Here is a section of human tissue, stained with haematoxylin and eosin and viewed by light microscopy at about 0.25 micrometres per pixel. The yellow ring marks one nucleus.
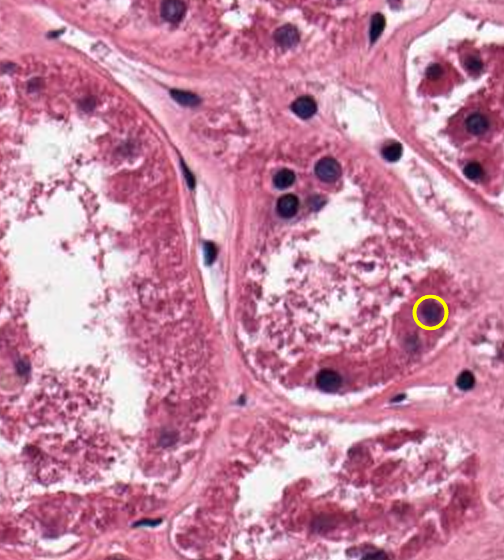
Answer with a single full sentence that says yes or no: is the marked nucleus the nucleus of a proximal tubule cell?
Yes, the marked nucleus, in this picture, is that of a proximal tubule cell.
